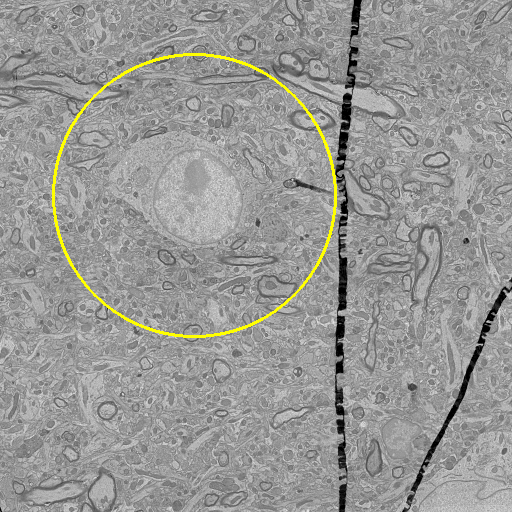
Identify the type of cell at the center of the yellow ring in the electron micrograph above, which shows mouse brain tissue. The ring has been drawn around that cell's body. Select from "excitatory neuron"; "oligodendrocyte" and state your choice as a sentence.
The yellow ring is centered on the body of an oligodendrocyte.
